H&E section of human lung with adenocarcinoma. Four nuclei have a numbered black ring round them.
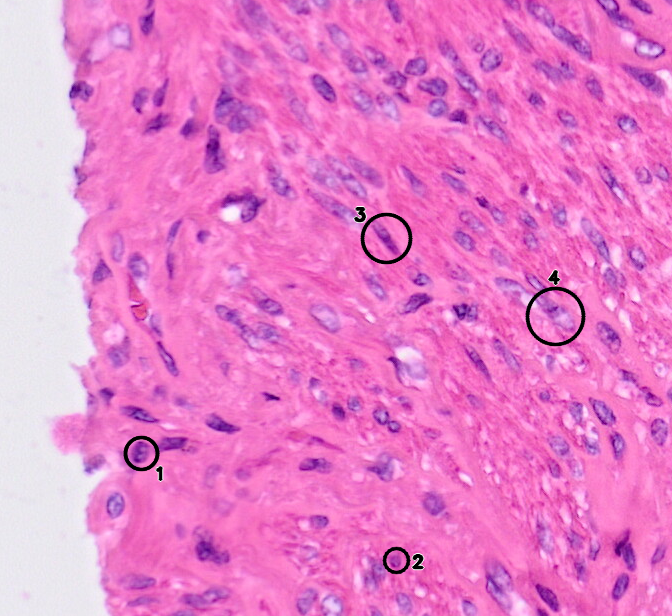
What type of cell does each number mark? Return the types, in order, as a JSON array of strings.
["mast cell", "smooth muscle cell or pericyte", "smooth muscle cell or pericyte", "smooth muscle cell or pericyte"]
